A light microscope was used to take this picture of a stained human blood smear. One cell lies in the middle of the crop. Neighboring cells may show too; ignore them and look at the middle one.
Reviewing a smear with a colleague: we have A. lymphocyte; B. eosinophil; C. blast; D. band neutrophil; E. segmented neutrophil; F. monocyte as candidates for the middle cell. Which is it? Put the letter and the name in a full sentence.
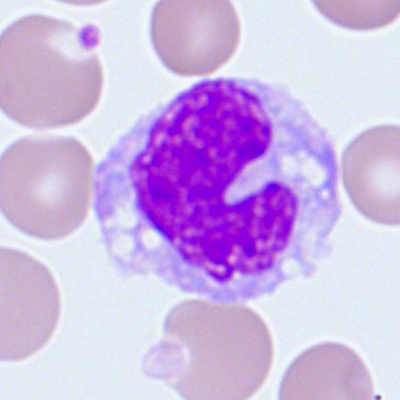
Option F is the right one, for the cell in the middle is a monocyte.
